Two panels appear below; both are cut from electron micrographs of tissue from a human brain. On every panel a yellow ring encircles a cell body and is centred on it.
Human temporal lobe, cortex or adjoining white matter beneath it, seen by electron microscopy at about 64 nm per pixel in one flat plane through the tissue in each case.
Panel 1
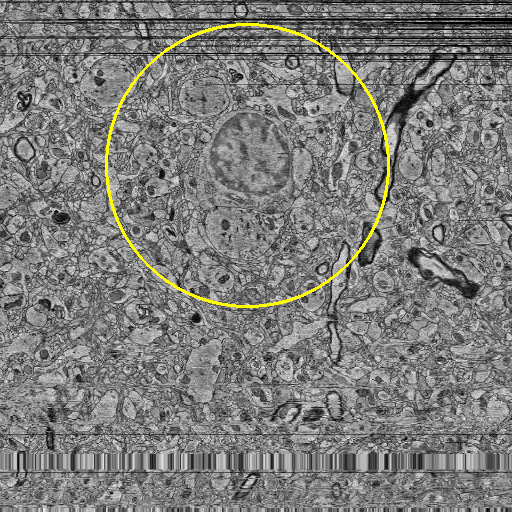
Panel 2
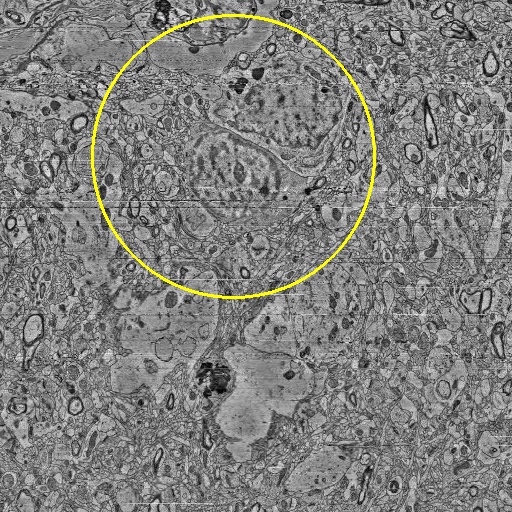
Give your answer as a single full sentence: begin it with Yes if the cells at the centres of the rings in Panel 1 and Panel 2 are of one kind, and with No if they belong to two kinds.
Yes, the cells in the middle of the rings in Panels 1 and 2 are of one kind.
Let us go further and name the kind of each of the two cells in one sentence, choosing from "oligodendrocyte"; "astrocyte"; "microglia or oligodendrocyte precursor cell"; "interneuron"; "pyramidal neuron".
The cell at the ring centre is an oligodendrocyte in both pictures.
